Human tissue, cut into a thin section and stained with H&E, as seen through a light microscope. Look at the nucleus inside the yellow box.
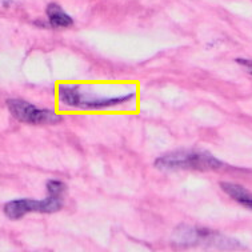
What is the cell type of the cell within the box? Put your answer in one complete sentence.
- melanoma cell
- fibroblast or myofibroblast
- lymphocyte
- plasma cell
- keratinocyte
Cytologically, the cell within the box is to be regarded as a fibroblast or myofibroblast.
